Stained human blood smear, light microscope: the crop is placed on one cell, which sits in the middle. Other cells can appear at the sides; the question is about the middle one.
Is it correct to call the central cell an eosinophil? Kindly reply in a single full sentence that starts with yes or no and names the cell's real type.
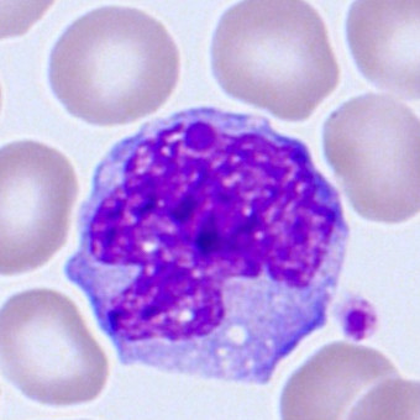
No, rather than an eosinophil, the central cell is a monocyte.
